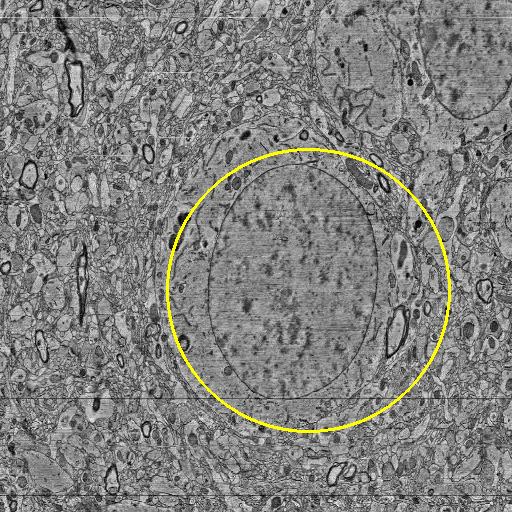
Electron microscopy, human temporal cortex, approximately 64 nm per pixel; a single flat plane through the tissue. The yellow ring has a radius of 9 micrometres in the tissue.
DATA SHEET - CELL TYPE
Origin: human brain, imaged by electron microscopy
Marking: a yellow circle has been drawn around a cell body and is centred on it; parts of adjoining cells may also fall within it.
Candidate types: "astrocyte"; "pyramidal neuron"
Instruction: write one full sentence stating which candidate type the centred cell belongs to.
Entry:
The cell body at the centre of the yellow ring in this micrograph belongs to a pyramidal neuron.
